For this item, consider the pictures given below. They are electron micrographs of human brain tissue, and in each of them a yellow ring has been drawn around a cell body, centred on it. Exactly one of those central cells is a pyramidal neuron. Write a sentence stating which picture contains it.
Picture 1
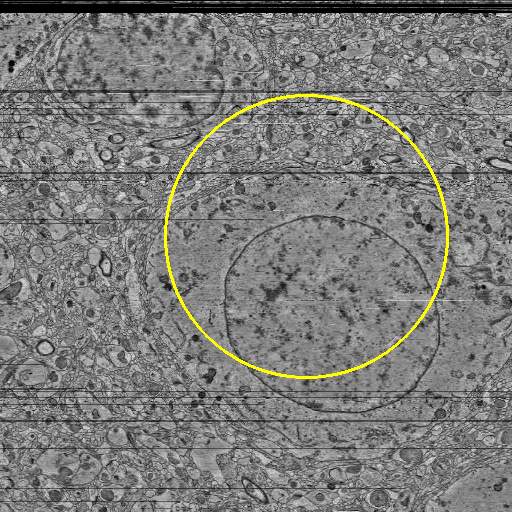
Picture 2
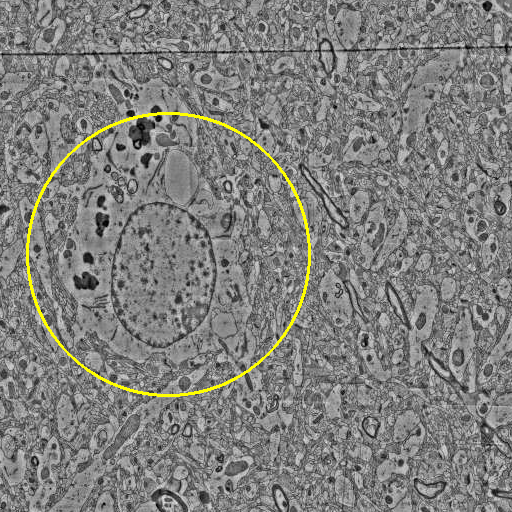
It is in Picture 1.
